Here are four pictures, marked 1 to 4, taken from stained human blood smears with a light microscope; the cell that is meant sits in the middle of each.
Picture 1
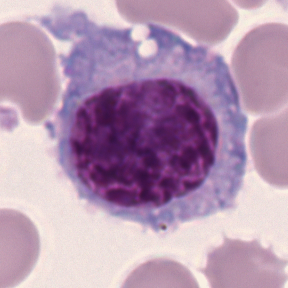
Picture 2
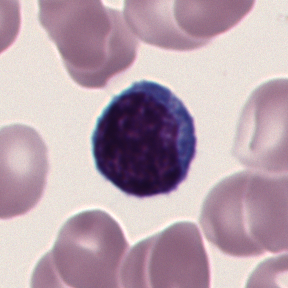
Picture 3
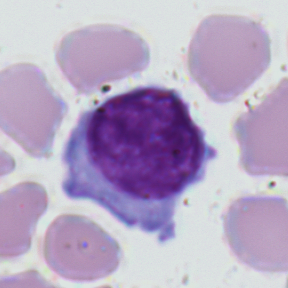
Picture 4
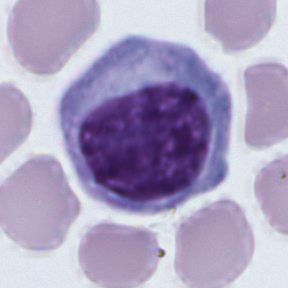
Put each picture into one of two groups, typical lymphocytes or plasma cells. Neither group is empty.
1: plasma cell
2: typical lymphocyte
3: plasma cell
4: plasma cell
